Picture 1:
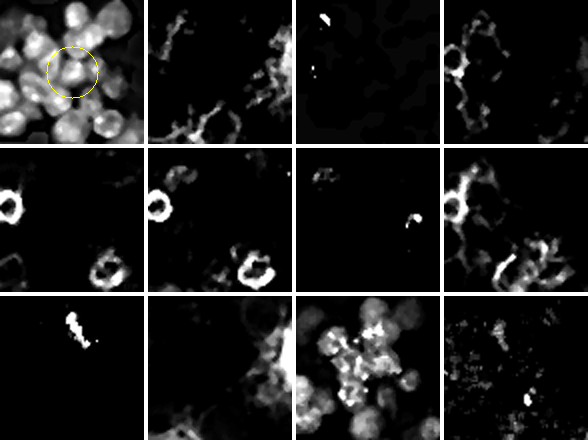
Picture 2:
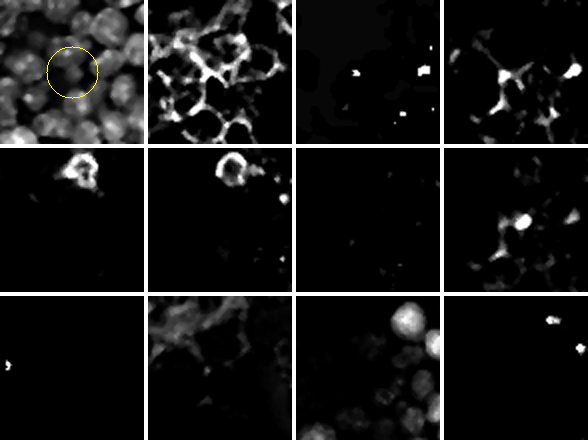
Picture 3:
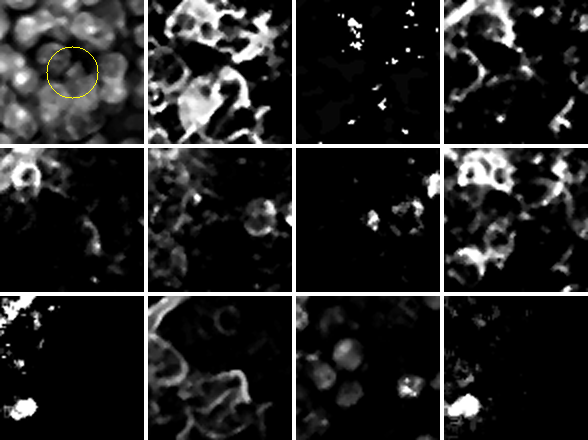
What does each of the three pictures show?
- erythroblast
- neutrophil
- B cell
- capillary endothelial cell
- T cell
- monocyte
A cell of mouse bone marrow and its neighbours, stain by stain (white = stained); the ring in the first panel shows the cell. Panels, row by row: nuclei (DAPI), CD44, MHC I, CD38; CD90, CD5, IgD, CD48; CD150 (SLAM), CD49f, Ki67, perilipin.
1. erythroblast
2. monocyte
3. B cell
